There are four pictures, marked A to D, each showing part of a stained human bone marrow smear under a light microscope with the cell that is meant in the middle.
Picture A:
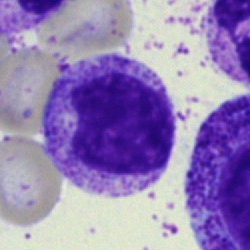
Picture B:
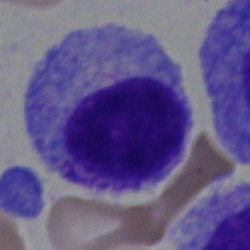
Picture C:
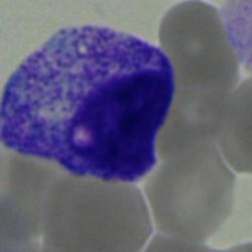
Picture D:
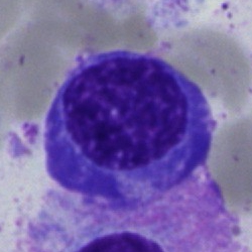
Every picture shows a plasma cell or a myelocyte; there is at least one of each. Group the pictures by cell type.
A: myelocyte
B: myelocyte
C: myelocyte
D: plasma cell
